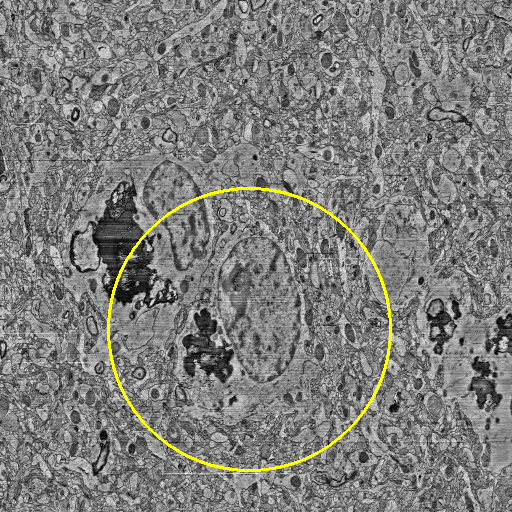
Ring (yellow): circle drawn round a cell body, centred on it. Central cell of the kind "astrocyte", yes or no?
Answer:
yes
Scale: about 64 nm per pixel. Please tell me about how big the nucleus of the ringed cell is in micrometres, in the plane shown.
In this plane the nucleus is roughly 10 by 5 micrometres, clearly longer than it is wide.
